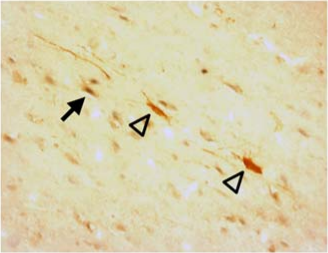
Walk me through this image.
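Scattered brown-stained cell bodies lie in a pale tan field of brain tissue, most of them elongated or spindle-shaped. One marked cell shows a darker center than the others, while the others are stained brown throughout.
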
